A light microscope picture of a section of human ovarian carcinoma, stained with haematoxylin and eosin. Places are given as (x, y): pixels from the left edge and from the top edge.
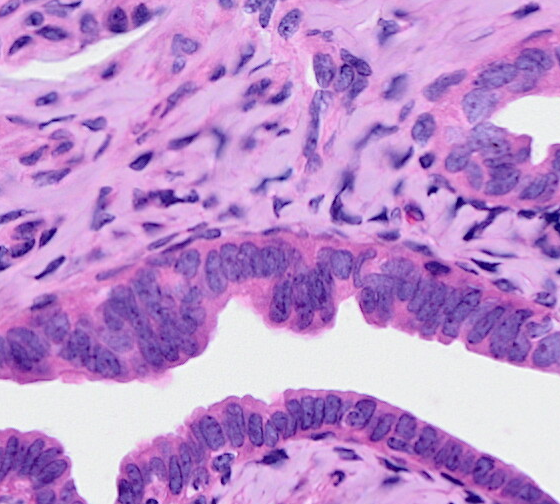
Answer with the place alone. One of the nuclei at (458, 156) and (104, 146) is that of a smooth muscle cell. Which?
(104, 146)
